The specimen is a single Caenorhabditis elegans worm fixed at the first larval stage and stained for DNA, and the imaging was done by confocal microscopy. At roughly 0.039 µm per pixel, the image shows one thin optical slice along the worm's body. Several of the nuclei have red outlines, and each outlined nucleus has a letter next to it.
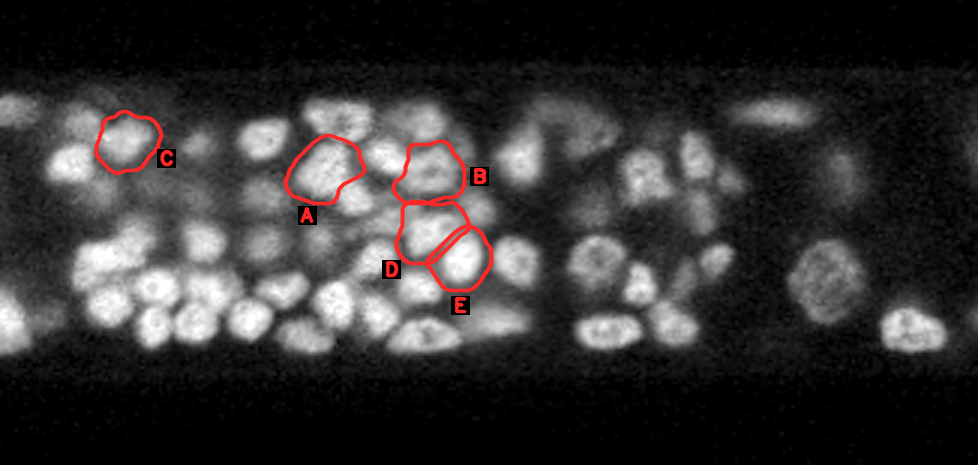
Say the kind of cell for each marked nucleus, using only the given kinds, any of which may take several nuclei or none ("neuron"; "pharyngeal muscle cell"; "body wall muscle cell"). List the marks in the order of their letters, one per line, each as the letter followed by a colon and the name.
A: neuron
B: pharyngeal muscle cell
C: neuron
D: pharyngeal muscle cell
E: neuron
